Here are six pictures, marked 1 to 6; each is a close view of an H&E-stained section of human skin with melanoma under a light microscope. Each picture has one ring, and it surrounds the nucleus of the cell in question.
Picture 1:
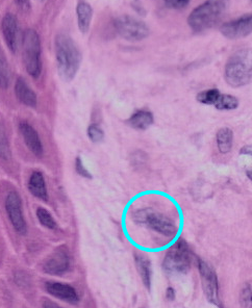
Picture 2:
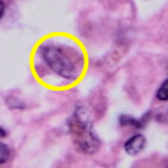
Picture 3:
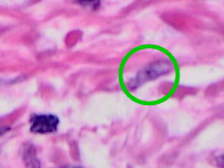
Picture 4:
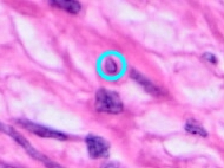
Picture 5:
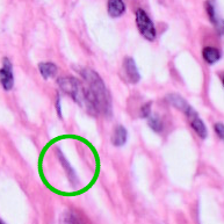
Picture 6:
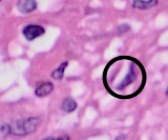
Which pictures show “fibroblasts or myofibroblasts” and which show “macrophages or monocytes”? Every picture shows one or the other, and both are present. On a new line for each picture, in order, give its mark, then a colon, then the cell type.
1: fibroblast or myofibroblast
2: macrophage or monocyte
3: fibroblast or myofibroblast
4: macrophage or monocyte
5: fibroblast or myofibroblast
6: fibroblast or myofibroblast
